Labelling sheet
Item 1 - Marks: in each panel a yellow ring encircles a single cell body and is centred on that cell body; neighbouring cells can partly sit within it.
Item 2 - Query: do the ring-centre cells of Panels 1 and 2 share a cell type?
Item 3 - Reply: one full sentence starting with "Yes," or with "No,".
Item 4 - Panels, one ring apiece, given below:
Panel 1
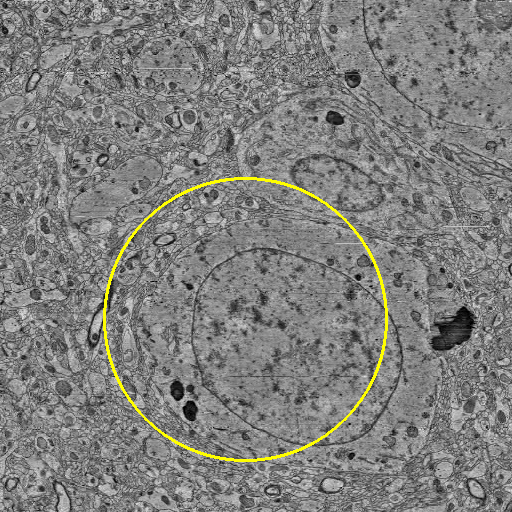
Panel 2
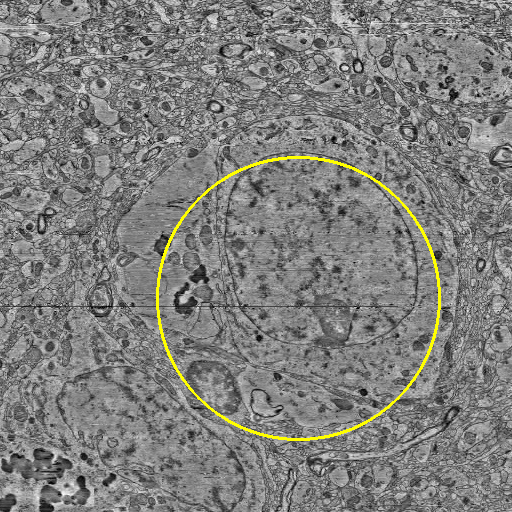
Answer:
Yes, Panel 1 and Panel 2 show one cell type at the centres of their rings.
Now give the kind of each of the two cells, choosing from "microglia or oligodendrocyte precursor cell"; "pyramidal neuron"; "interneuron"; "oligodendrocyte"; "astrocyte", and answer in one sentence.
In the first picture and in the second, the ring is centred on a pyramidal neuron.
